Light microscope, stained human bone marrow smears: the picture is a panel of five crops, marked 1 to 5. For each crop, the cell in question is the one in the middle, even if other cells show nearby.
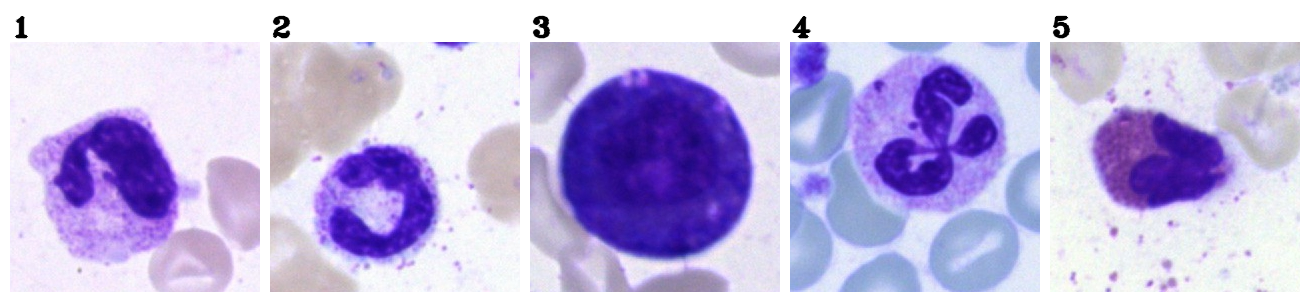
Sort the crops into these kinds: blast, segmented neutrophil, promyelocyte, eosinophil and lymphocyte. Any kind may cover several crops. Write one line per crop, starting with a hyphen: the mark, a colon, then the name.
- 1: segmented neutrophil
- 2: segmented neutrophil
- 3: promyelocyte
- 4: segmented neutrophil
- 5: eosinophil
